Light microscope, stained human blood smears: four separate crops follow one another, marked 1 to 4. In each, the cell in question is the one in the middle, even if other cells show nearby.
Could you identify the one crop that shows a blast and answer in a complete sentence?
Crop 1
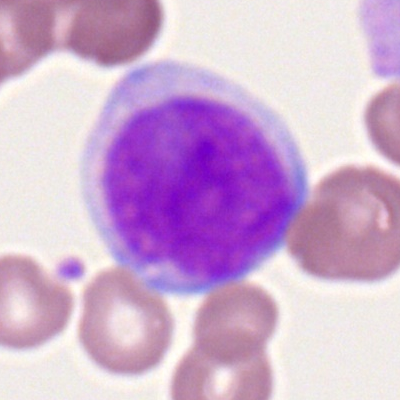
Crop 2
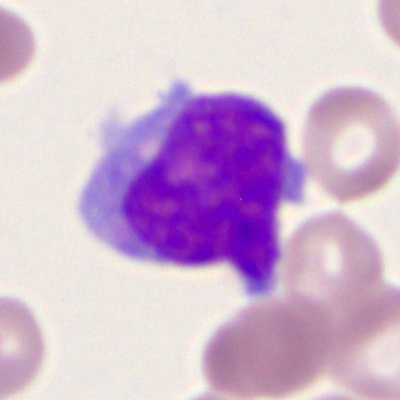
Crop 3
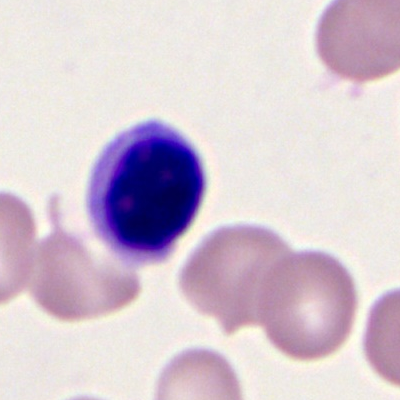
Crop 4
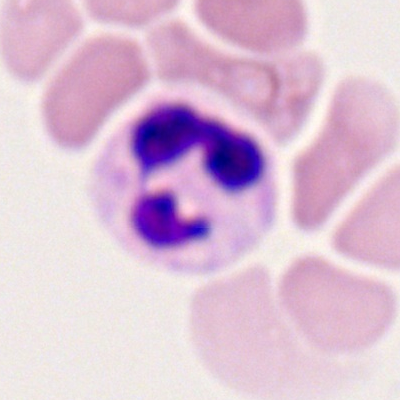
Here the crop that shows a blast is crop 1.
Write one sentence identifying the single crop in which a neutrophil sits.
The one that shows a neutrophil is crop 4.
